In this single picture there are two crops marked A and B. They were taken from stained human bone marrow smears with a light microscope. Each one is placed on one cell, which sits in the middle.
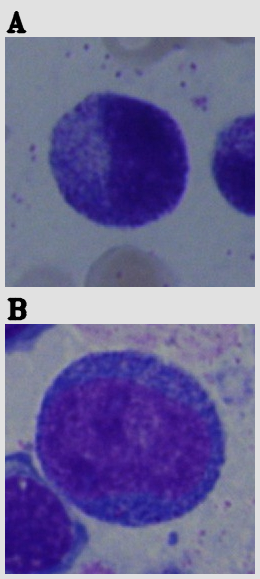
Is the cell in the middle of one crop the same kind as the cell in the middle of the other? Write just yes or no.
no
